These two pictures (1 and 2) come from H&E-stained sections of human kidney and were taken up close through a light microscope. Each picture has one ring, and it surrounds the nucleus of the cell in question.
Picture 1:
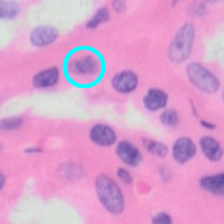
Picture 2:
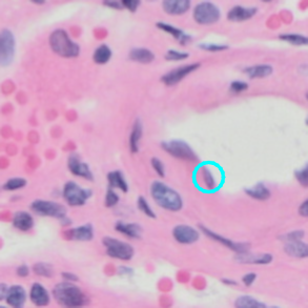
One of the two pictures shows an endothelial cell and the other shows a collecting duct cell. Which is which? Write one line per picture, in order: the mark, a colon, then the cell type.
1: collecting duct cell
2: endothelial cell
